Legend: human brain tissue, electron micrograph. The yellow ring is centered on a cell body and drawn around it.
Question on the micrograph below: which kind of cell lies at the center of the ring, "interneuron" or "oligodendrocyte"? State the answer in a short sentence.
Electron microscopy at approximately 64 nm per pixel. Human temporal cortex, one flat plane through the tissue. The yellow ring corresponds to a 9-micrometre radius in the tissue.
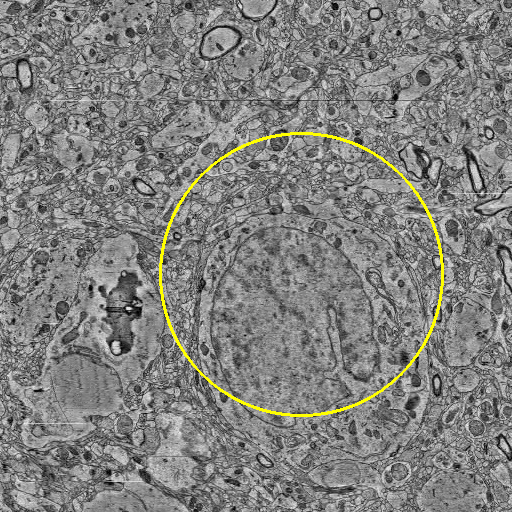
At the center of the ring lies an interneuron.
